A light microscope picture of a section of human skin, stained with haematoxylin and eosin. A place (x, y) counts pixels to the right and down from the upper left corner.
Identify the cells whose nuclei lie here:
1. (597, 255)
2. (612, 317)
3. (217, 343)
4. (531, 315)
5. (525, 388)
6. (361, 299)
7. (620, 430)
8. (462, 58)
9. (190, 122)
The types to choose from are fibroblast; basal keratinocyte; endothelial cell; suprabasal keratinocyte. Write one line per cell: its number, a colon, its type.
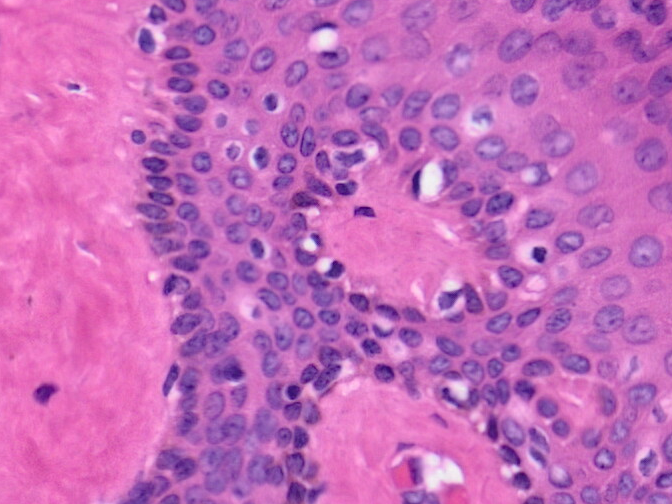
1: suprabasal keratinocyte
2: suprabasal keratinocyte
3: basal keratinocyte
4: basal keratinocyte
5: basal keratinocyte
6: basal keratinocyte
7: suprabasal keratinocyte
8: suprabasal keratinocyte
9: basal keratinocyte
